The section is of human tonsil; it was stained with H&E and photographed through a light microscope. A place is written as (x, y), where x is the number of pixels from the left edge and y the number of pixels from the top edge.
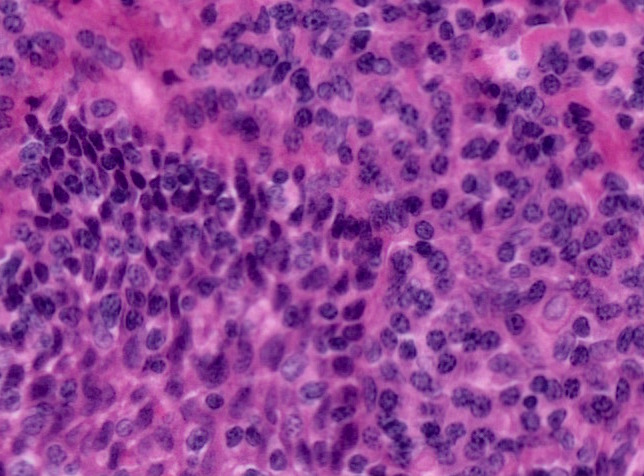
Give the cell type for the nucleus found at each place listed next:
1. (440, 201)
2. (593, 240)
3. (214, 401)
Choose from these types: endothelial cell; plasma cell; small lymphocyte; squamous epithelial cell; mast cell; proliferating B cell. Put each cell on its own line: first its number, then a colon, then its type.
1: plasma cell
2: plasma cell
3: squamous epithelial cell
